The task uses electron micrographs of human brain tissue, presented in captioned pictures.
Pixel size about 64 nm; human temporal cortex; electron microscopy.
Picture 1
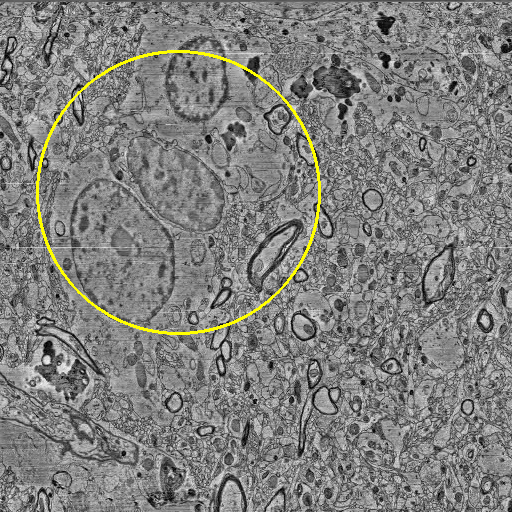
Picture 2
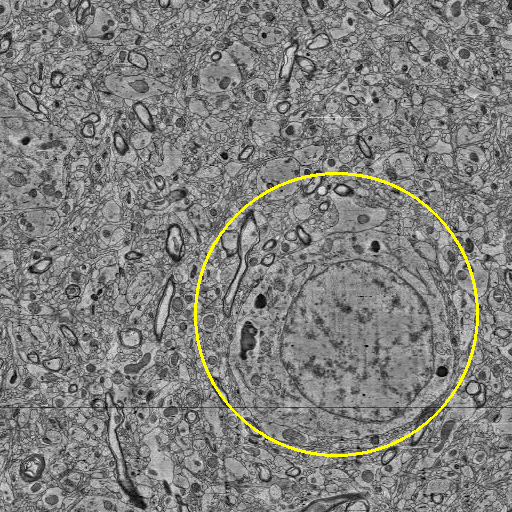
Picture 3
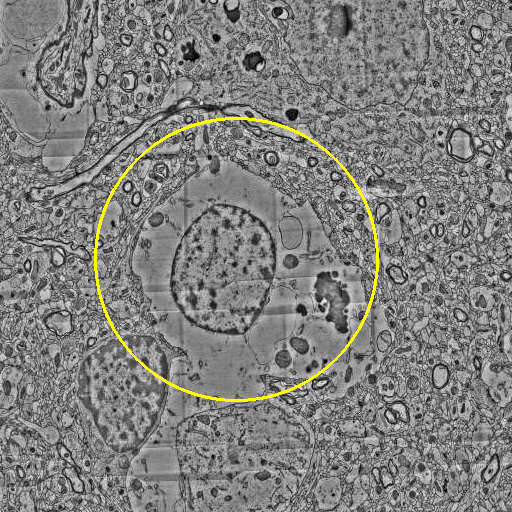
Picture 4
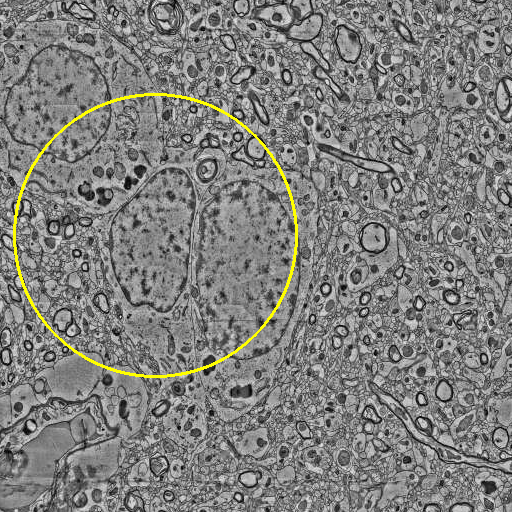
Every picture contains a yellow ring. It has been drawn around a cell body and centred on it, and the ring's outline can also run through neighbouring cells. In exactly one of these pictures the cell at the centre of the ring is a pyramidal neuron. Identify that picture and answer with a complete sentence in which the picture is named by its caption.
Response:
The ring in Picture 2 is centred on that kind of cell.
